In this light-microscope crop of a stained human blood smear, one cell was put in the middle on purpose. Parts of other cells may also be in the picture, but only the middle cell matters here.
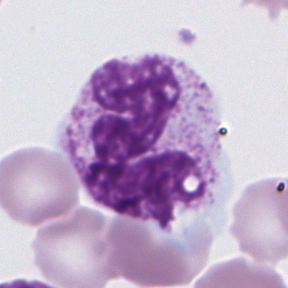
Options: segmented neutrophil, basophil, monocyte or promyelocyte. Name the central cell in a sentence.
The target cell in the middle of the crop is a segmented neutrophil.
